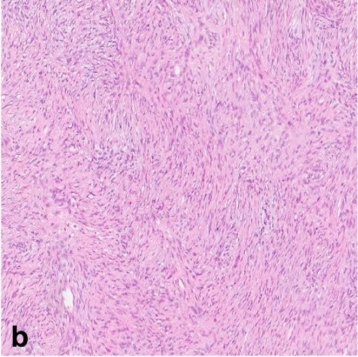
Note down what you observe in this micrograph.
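This hypercellular area of the tumor is built of elongated spindle cells with slender, dark, oval to cigar-shaped nuclei. The cells are gathered into short, irregular fascicles that run in changing directions. Between them lies a dense pink collagenous stroma.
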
